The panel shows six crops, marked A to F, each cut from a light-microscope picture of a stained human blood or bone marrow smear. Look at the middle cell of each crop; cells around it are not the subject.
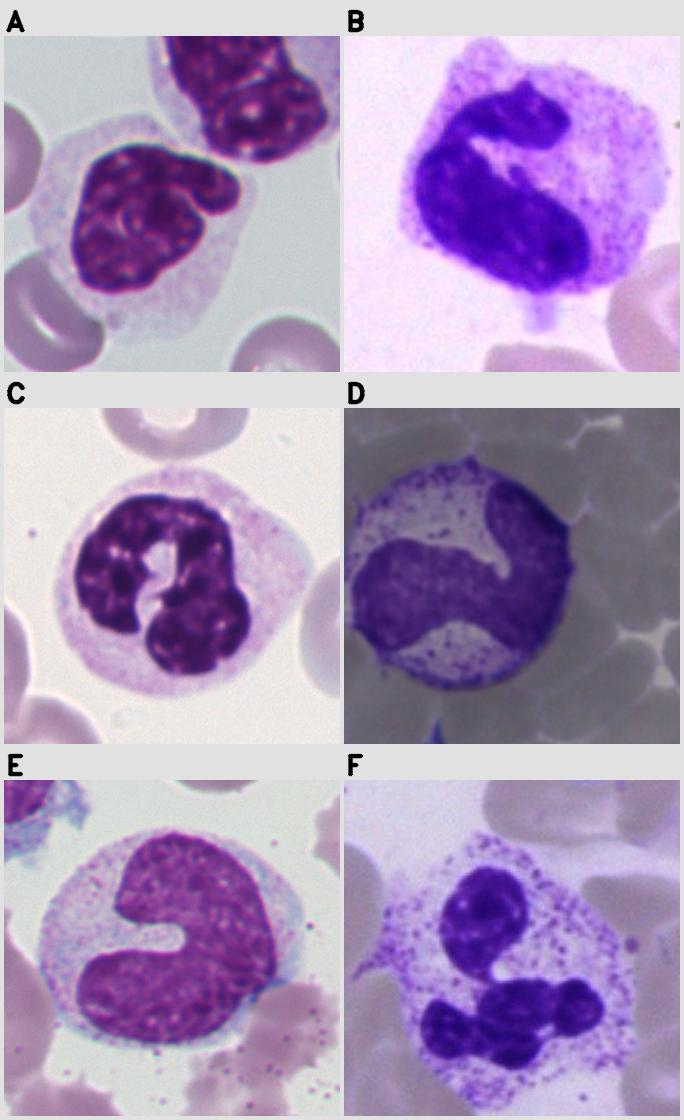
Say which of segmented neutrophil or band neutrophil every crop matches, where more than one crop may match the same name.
A: segmented neutrophil
B: segmented neutrophil
C: band neutrophil
D: band neutrophil
E: band neutrophil
F: segmented neutrophil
